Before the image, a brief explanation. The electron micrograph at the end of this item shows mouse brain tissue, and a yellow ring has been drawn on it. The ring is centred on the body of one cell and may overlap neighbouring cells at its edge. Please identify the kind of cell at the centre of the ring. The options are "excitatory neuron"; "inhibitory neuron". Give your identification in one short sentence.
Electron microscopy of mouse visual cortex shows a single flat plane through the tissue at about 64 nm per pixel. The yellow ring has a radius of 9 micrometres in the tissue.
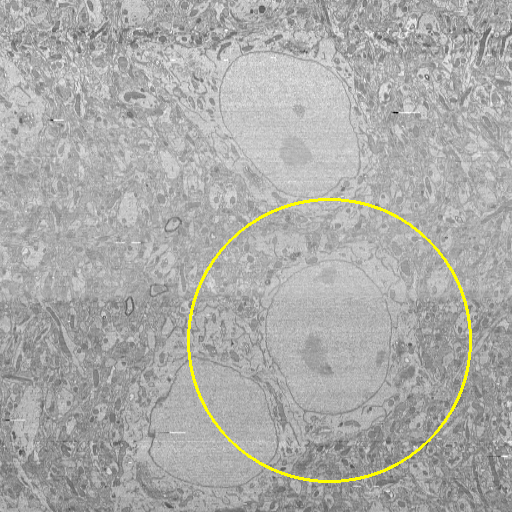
The ring has been placed around an excitatory neuron.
